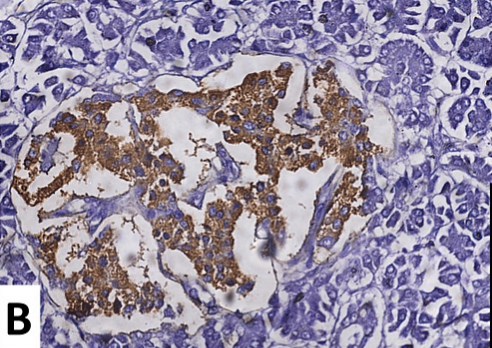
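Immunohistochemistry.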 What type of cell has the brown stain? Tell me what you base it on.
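A rounded cell cluster is set apart from the surrounding blue-stained acini. Brown stain fills the cytoplasm of most cells in the cluster. The brown cells form the bulk of the cluster, not just its rim. That points to this answer: beta cells.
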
